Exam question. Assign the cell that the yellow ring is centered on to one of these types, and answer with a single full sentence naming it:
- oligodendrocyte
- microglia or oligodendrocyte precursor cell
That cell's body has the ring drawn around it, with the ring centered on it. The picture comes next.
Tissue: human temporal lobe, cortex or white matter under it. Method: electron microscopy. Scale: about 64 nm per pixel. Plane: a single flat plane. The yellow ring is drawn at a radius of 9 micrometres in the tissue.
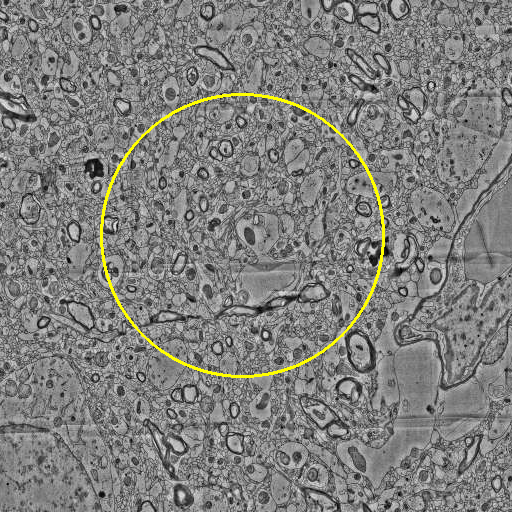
In the micrograph, the cell the yellow ring is centered on is an oligodendrocyte.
